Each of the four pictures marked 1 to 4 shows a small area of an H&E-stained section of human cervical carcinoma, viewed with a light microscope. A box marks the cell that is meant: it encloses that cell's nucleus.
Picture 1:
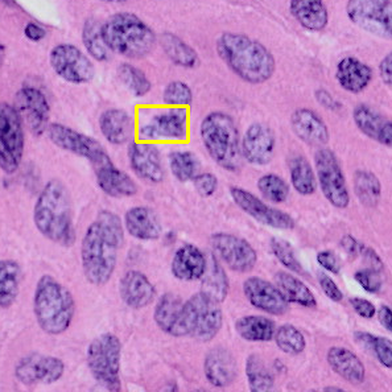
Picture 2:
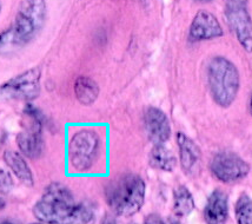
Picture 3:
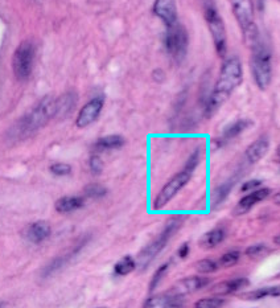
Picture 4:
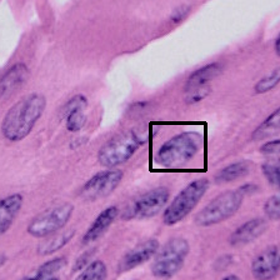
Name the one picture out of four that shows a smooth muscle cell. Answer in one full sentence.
Picture 3 shows the smooth muscle cell.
